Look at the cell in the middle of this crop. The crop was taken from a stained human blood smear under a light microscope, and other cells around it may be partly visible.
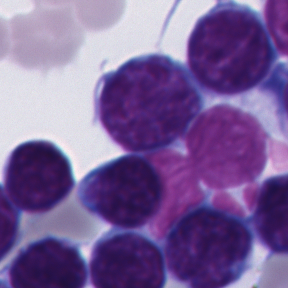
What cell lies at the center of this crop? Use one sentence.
The cell featured at the centre of this crop is a blast.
